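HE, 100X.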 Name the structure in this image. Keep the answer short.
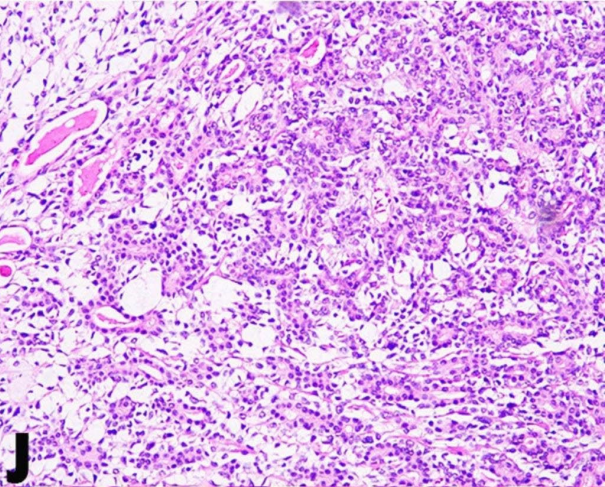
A: Glandular tubular structure.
